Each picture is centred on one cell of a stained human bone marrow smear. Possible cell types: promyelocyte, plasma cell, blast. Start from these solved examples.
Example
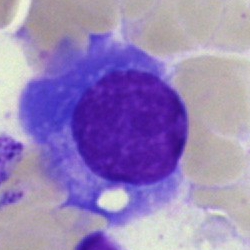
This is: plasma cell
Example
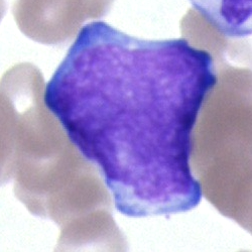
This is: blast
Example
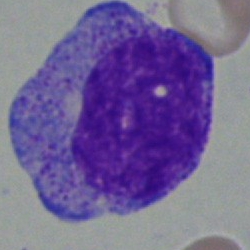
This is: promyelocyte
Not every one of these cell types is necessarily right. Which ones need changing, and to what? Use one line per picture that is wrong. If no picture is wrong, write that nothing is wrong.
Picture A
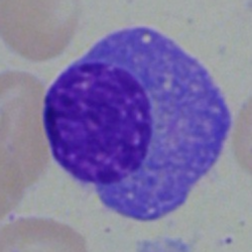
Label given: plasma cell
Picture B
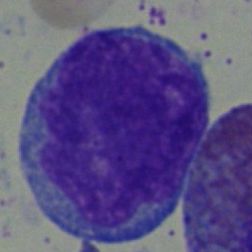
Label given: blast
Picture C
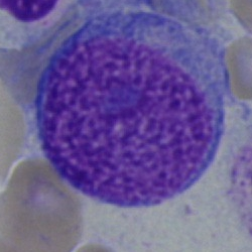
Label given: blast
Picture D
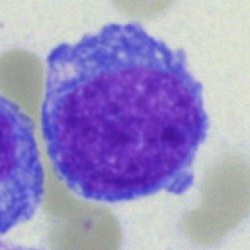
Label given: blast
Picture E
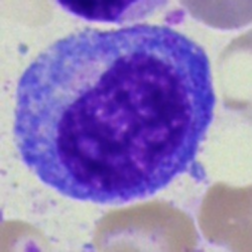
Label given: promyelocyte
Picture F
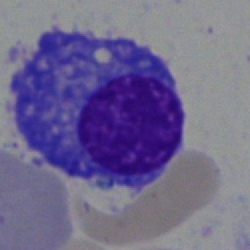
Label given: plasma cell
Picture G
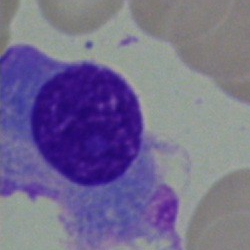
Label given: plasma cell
None of the labels needs changing.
